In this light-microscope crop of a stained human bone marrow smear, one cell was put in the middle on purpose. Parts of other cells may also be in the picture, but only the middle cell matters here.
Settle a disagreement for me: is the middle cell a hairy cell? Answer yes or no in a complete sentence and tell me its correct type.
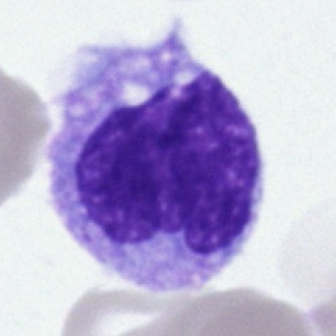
No, instead of a hairy cell, the middle cell is a monocyte.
